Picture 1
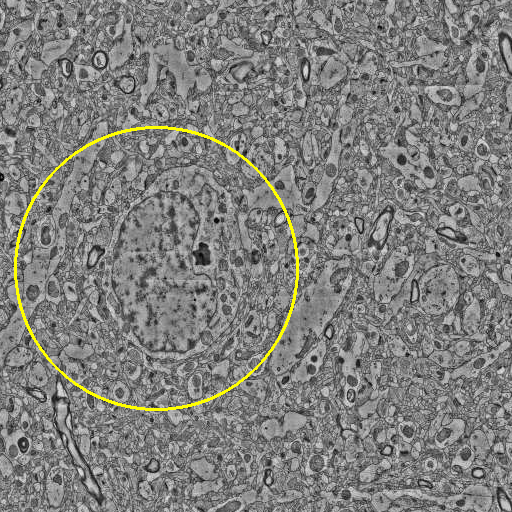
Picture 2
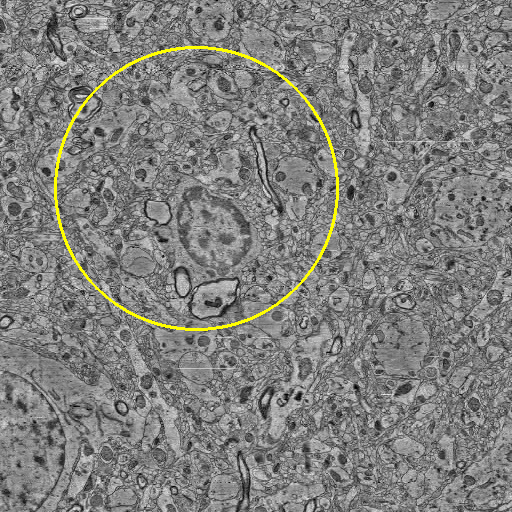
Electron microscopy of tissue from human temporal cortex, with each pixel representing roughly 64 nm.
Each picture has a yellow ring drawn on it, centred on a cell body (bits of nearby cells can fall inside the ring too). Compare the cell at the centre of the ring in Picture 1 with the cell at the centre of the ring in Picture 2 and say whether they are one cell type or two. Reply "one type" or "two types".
two types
